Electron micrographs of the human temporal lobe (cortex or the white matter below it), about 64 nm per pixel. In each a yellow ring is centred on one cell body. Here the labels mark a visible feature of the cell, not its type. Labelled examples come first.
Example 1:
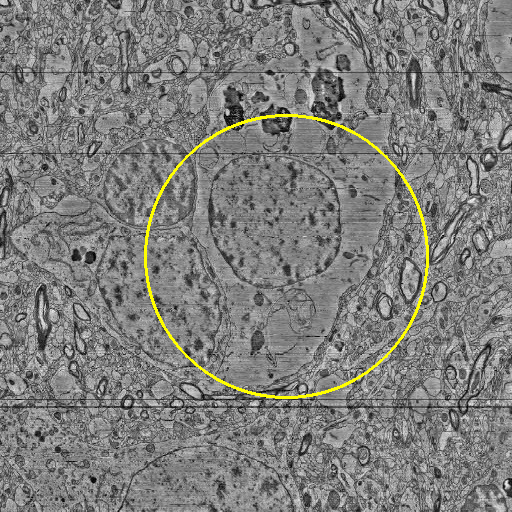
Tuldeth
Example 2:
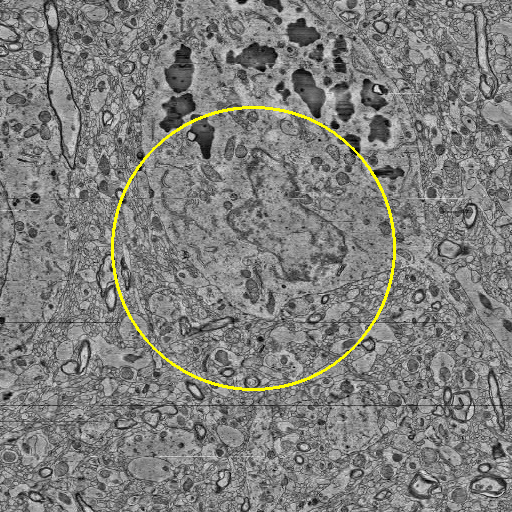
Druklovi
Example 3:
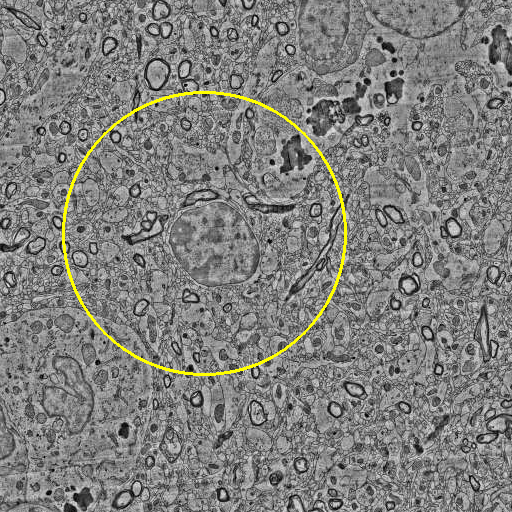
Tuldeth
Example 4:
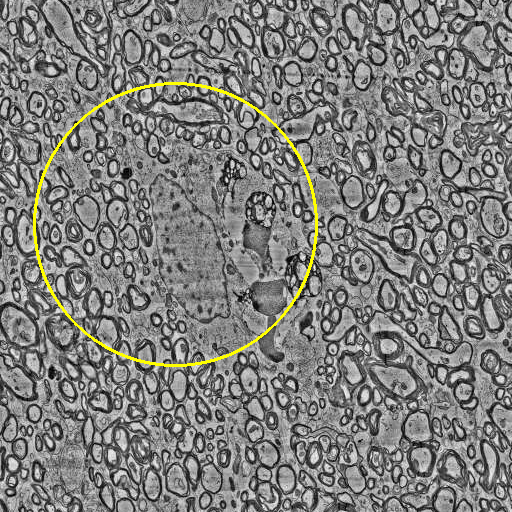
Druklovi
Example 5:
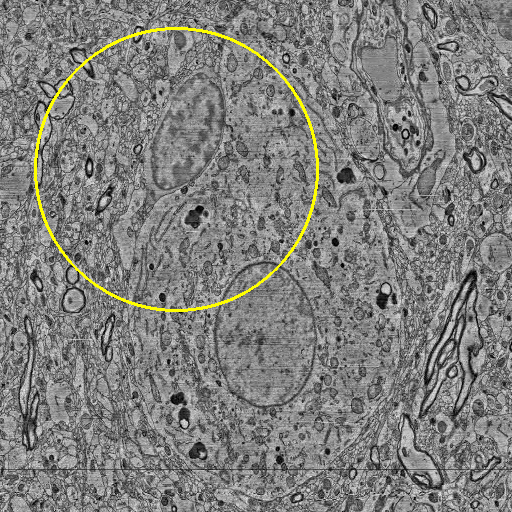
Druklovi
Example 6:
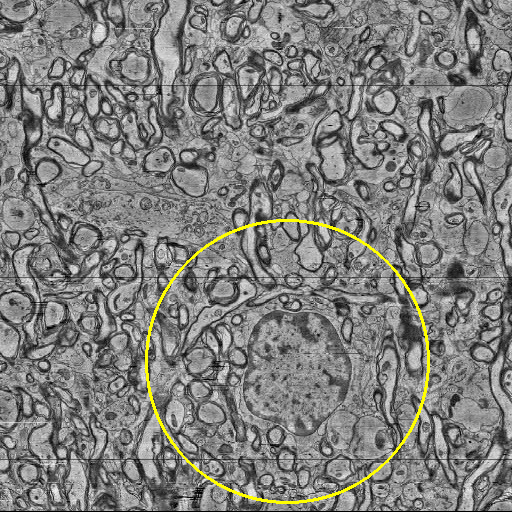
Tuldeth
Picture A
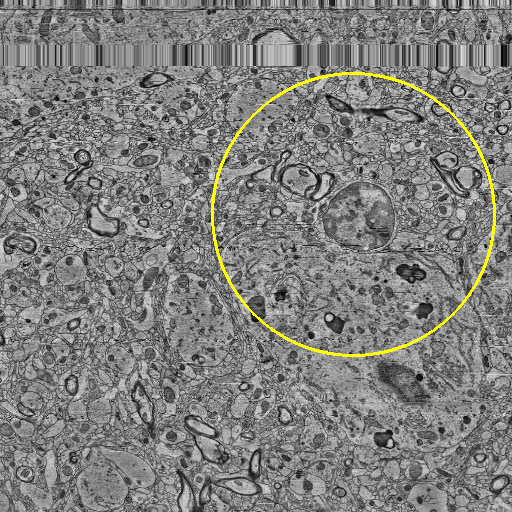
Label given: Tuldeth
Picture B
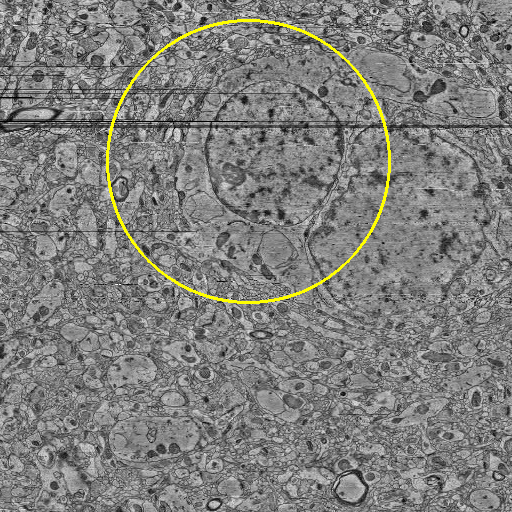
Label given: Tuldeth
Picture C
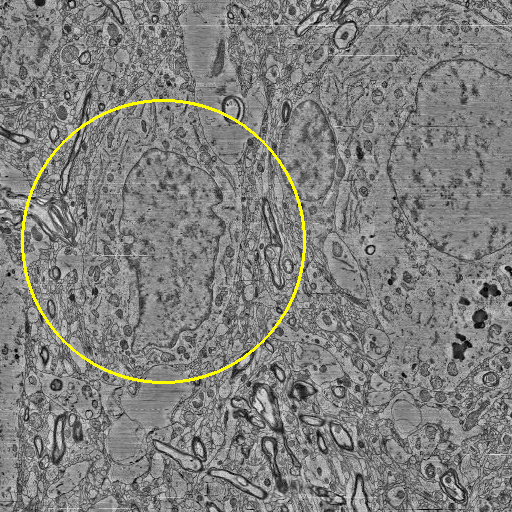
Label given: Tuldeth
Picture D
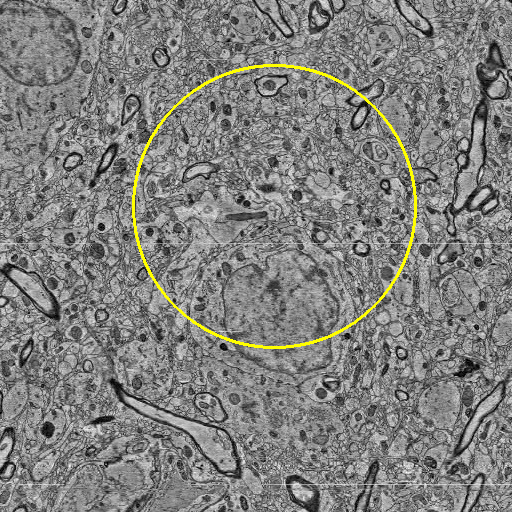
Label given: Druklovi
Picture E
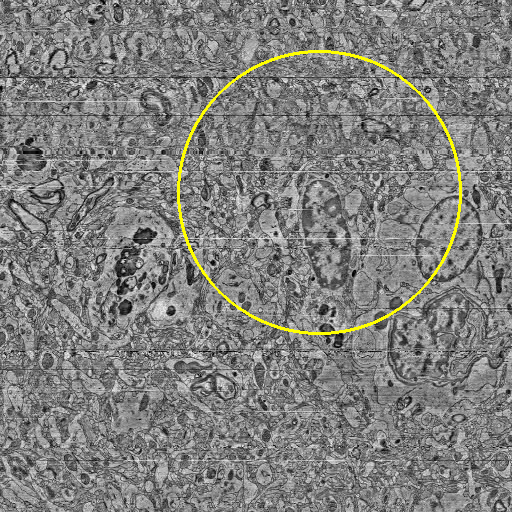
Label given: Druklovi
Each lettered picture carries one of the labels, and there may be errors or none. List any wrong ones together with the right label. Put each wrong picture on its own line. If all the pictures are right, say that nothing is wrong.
C: change Tuldeth to Druklovi
D: change Druklovi to Tuldeth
